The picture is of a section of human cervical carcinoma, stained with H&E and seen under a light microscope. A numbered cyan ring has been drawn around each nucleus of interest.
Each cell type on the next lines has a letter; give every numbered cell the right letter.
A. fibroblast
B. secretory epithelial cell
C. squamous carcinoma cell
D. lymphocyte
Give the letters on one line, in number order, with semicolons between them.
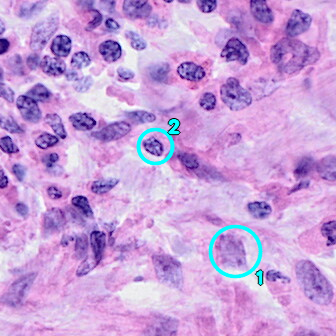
A; D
